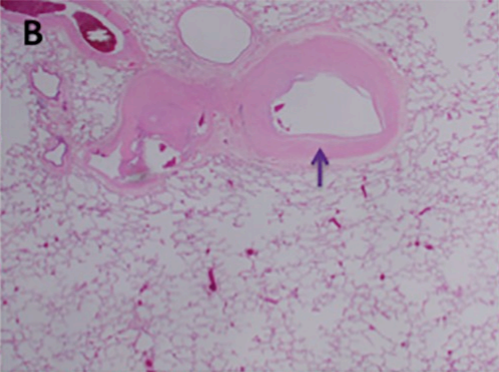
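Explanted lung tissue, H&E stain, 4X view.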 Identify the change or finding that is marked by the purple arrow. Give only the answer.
Artery intimal thickening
